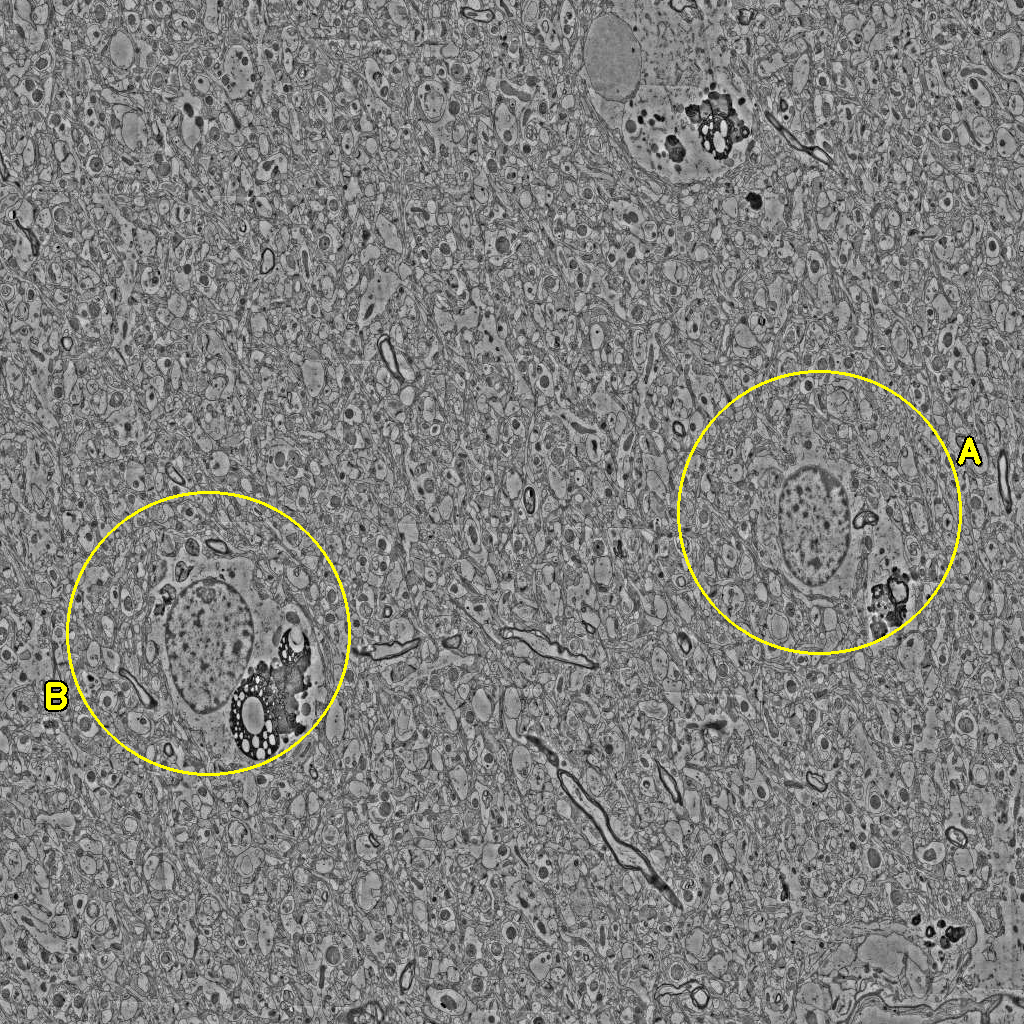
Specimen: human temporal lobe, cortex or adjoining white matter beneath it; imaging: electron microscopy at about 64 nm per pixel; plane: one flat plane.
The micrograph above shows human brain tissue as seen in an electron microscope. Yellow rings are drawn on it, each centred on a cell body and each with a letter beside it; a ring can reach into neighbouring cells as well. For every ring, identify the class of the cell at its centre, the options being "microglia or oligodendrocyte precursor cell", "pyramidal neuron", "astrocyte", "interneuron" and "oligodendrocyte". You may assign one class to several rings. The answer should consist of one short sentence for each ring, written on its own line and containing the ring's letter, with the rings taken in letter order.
The ring lettered A is centred on an astrocyte.
The ring lettered B is centred on an astrocyte.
